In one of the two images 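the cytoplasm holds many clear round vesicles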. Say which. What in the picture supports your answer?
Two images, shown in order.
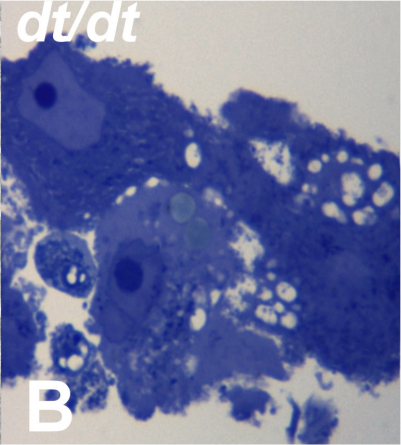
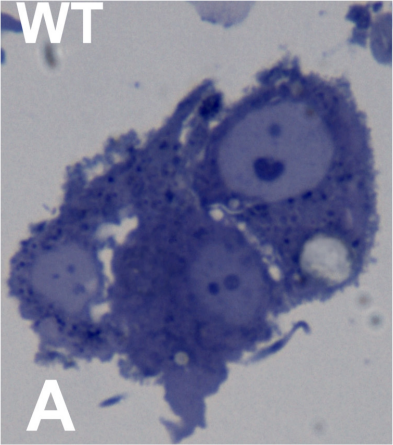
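First image: many clear round holes of varied size in the cytoplasm. Second image: cytoplasm mostly uniform and granular with few clear spaces. On this evidence: the first image.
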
